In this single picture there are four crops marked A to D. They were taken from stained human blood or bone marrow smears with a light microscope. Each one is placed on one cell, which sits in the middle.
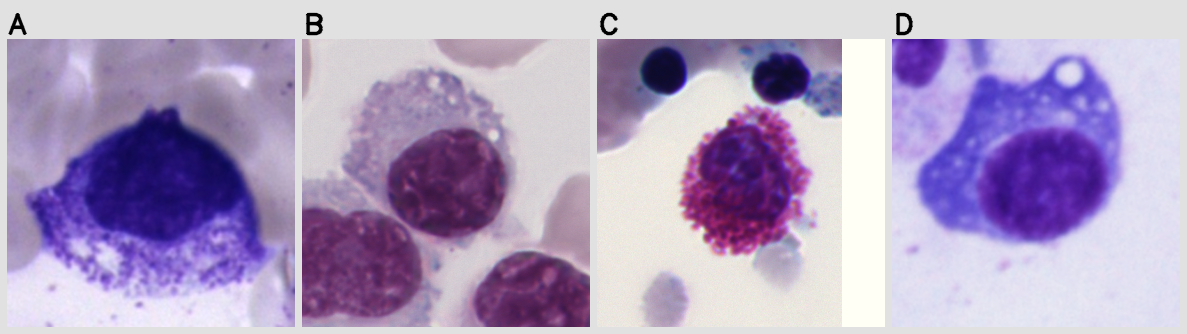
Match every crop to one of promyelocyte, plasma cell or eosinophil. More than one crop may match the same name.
A: promyelocyte
B: plasma cell
C: eosinophil
D: plasma cell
